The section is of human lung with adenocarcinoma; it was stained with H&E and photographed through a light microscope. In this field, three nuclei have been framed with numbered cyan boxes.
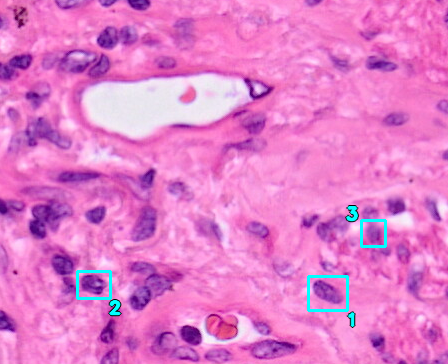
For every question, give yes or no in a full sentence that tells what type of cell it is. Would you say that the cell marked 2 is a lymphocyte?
Yes, cell number 2 is classified as a lymphocyte.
